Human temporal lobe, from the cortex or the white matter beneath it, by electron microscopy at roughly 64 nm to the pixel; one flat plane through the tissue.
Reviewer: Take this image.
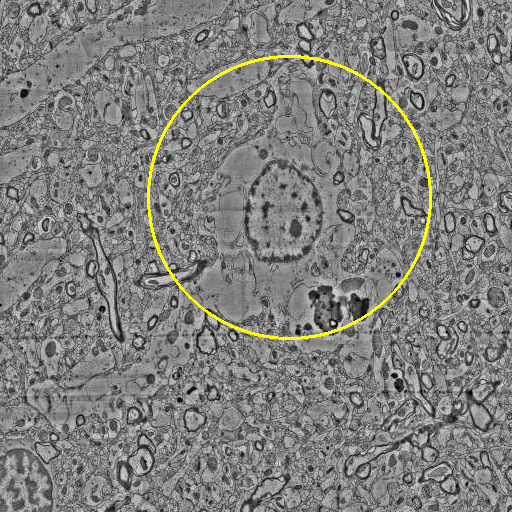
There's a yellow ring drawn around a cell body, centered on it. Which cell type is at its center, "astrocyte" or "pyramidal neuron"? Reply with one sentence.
At the center of the yellow ring is an astrocyte.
